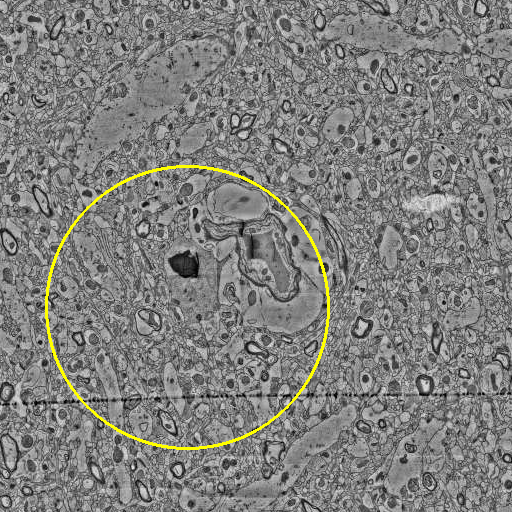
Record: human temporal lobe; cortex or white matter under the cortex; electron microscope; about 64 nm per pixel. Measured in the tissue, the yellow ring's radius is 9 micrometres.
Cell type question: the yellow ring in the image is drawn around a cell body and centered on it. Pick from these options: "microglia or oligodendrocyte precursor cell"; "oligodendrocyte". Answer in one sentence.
The ringed cell at the center is an oligodendrocyte.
